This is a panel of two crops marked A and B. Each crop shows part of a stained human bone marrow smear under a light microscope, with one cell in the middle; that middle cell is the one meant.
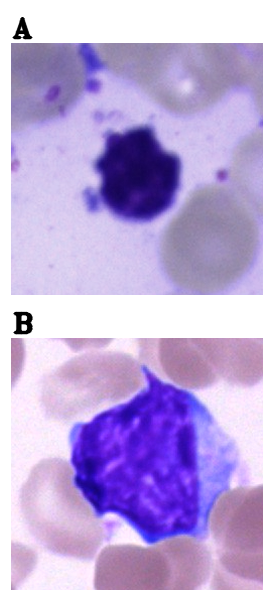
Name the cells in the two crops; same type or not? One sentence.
No, a lymphocyte is what occupies crop A, and a blast is what occupies crop B.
